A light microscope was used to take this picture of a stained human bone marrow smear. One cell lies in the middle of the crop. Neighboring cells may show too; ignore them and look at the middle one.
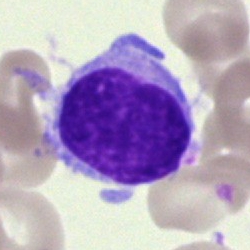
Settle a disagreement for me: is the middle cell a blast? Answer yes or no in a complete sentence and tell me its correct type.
No, the cell in the middle of the field is a hairy cell, not a blast as suggested.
